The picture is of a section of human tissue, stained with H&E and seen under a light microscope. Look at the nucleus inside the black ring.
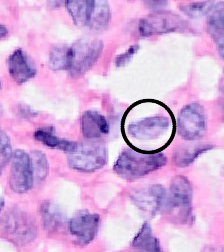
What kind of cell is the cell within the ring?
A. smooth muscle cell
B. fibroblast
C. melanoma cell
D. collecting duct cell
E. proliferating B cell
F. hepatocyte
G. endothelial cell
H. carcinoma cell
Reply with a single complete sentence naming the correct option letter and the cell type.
Option H is the one that fits, as the cell within the ring is a carcinoma cell.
